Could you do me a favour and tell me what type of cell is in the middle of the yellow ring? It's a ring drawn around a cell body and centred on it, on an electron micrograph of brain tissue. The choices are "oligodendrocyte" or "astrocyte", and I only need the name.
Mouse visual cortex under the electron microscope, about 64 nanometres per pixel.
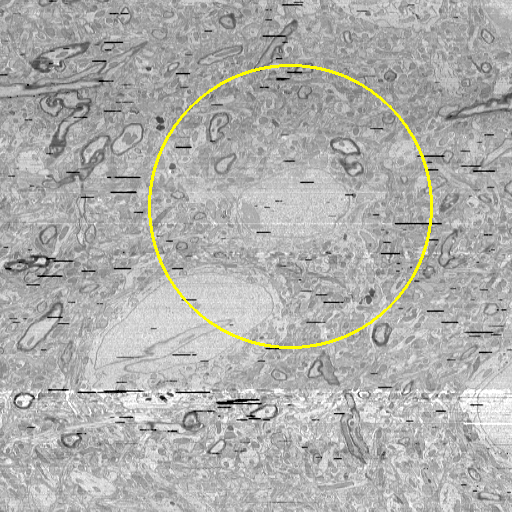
astrocyte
